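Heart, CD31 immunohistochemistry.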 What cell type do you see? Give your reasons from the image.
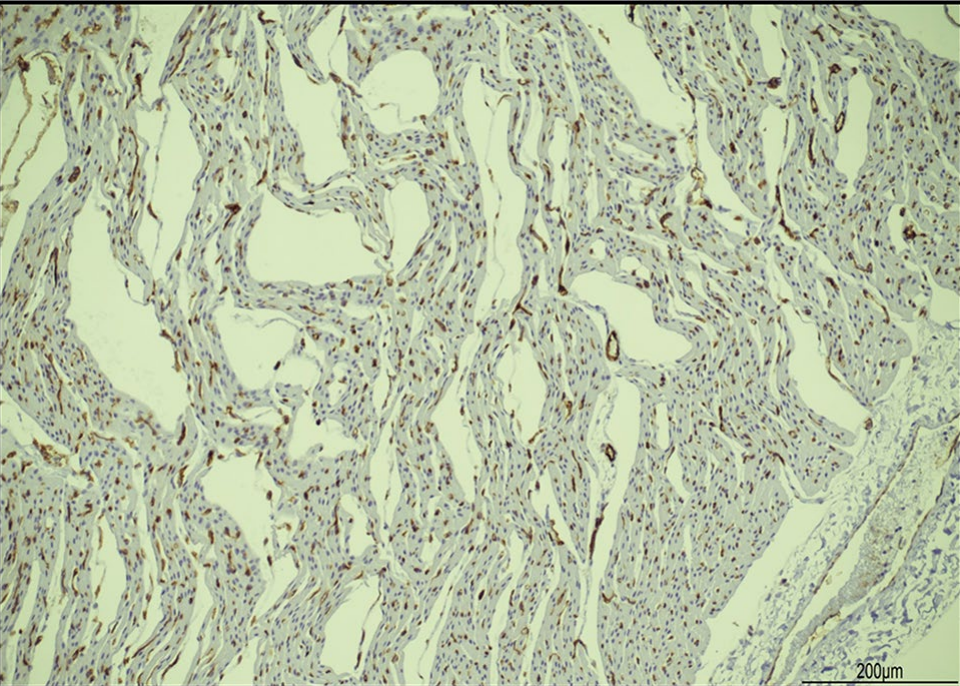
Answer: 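The fibres form an interlacing network.
Answer: cardiomyocytes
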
